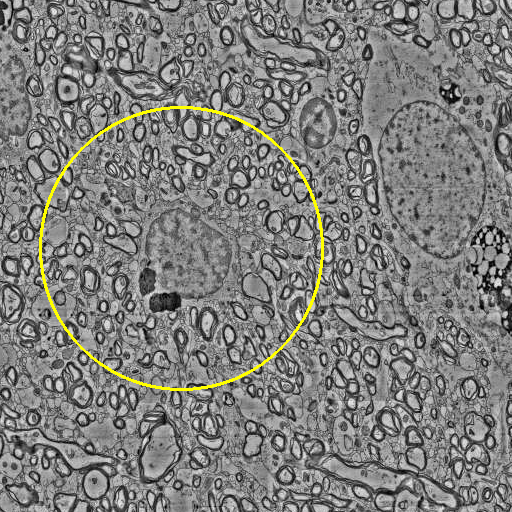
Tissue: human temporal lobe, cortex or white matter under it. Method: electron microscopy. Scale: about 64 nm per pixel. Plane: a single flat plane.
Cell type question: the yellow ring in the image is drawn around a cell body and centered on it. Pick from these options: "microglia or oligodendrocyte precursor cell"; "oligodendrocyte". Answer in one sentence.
The ringed cell at the center is an oligodendrocyte.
